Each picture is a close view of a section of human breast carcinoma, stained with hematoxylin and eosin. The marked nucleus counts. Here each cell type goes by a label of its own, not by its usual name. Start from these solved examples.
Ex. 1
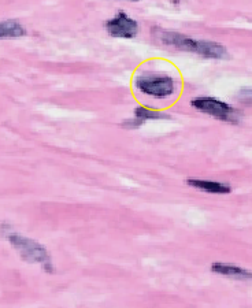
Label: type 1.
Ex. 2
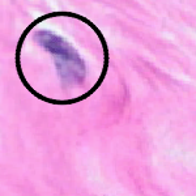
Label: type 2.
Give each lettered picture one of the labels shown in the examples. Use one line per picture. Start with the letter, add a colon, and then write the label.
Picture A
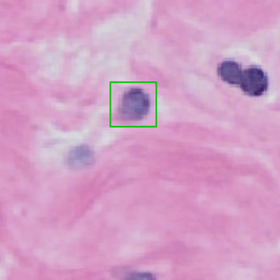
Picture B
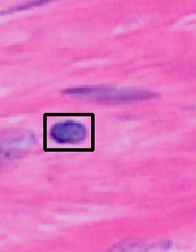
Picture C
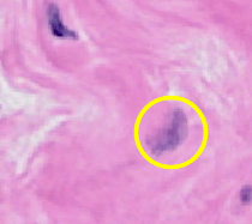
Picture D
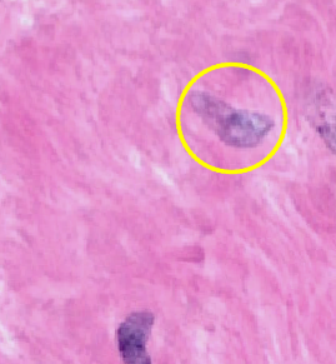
A: type 1.
B: type 1.
C: type 2.
D: type 2.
